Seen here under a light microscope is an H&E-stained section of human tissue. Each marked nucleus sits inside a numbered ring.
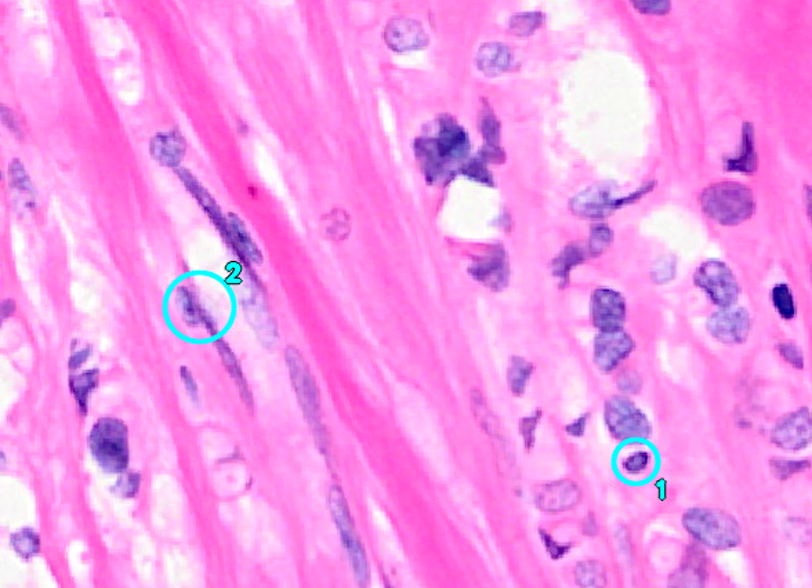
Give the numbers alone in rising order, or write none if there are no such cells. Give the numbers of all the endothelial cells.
2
